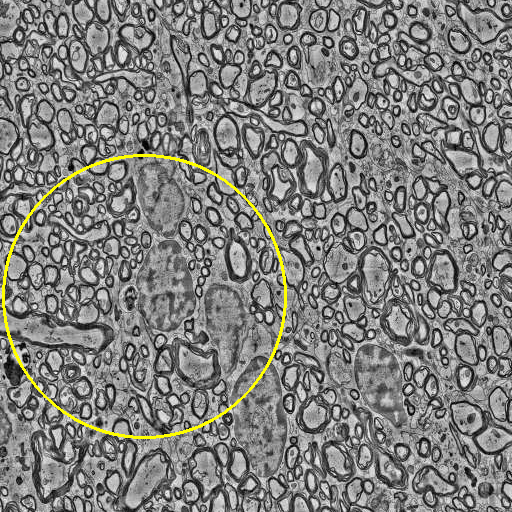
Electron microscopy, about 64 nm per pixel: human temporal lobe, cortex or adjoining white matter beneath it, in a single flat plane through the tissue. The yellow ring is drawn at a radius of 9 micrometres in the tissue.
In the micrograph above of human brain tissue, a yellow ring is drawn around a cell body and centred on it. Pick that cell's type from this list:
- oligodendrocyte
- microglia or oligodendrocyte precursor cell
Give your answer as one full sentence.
Going by the list, a microglial cell or oligodendrocyte precursor cell is the cell on which the yellow ring is centred.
